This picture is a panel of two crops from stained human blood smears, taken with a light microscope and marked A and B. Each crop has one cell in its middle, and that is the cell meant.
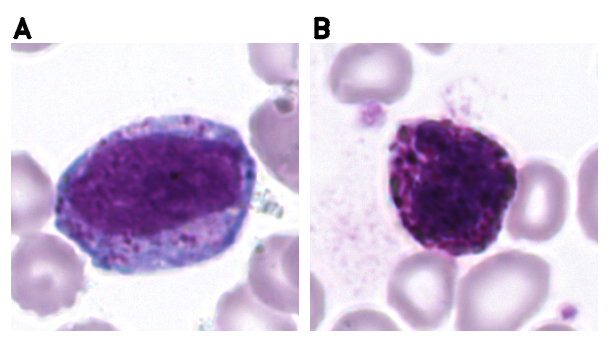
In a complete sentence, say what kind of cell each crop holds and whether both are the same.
No, crop A shows a promyelocyte, and the cell in crop B is a basophil.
